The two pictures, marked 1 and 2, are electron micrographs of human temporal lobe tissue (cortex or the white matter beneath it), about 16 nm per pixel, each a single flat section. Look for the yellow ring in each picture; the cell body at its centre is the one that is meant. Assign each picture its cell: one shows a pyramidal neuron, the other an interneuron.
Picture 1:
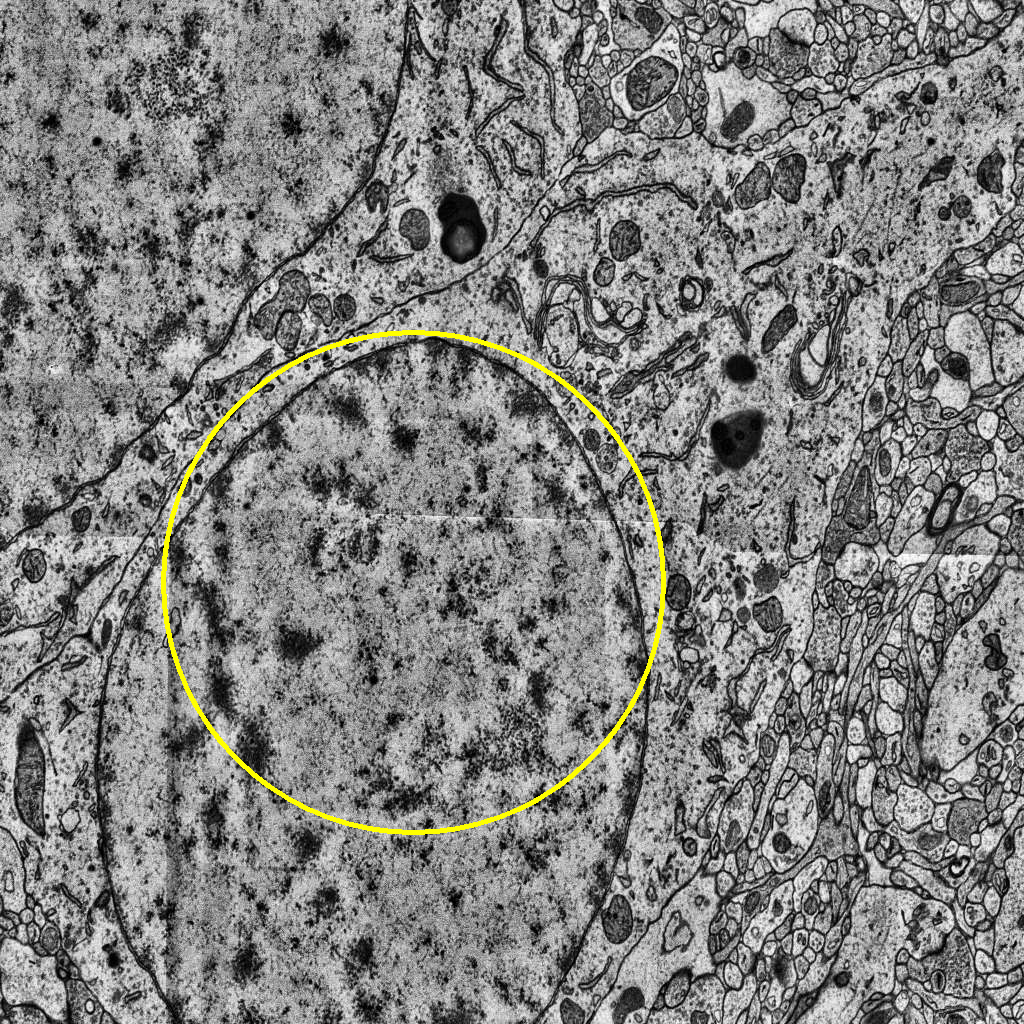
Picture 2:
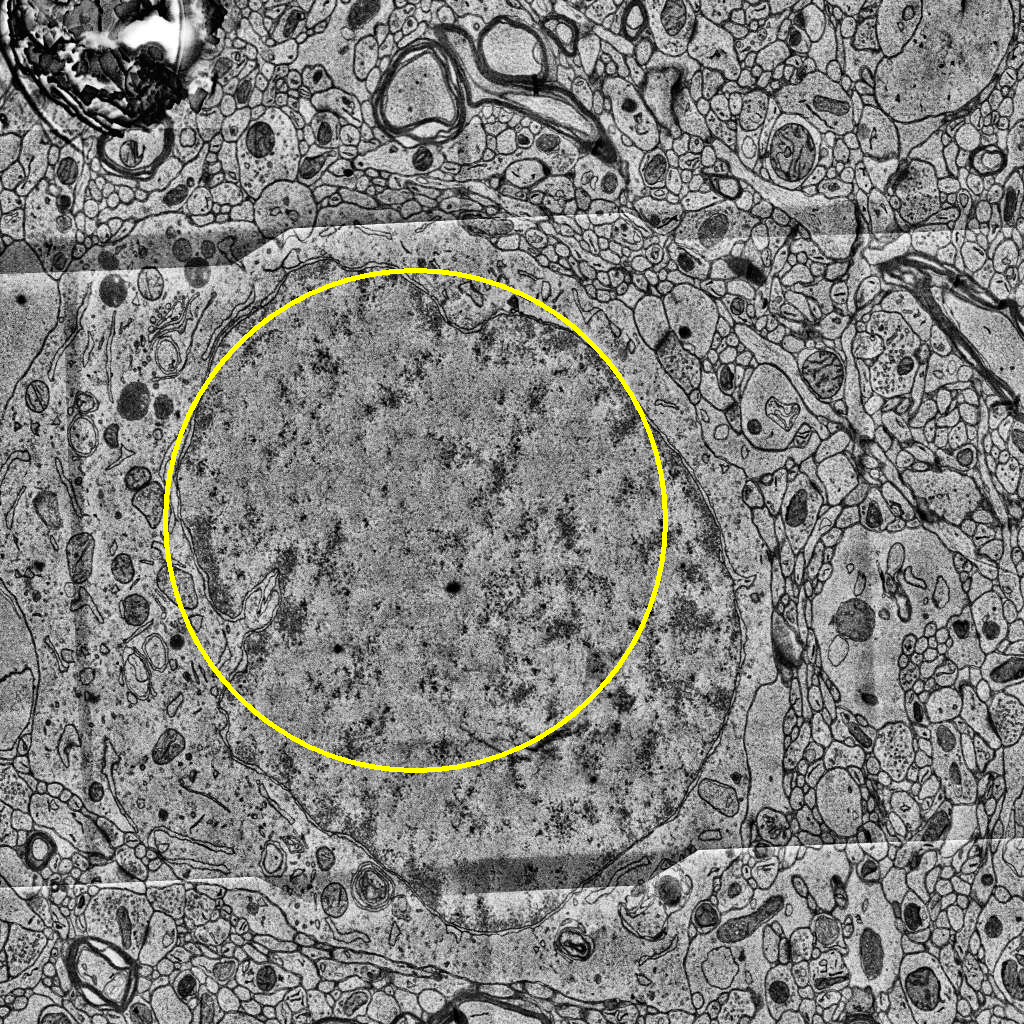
Picture 1 shows a pyramidal neuron and picture 2 shows an interneuron.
